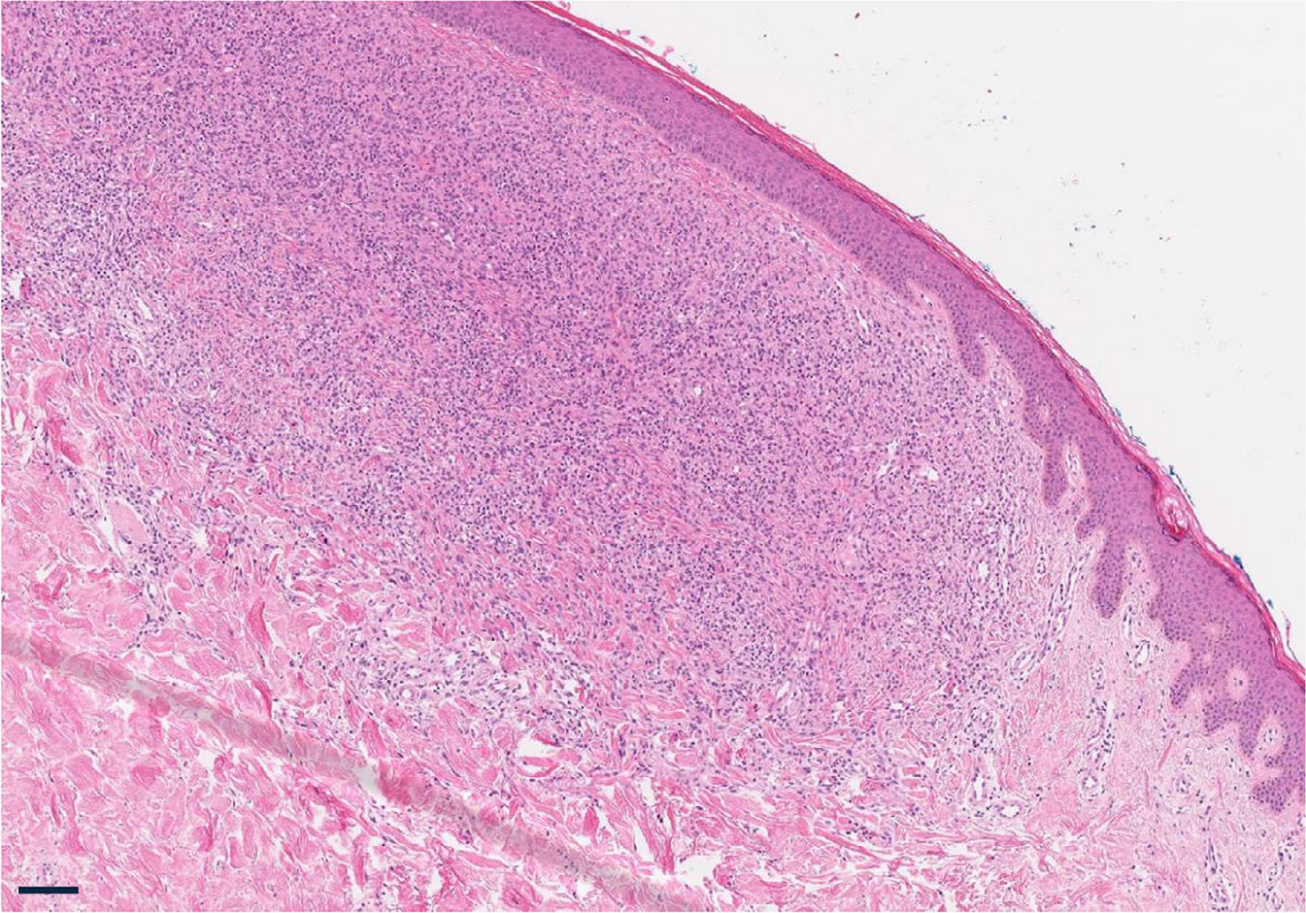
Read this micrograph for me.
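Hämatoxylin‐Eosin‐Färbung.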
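This is skin with a thin, pink-purple epidermis on top. Beneath it, a broad, dense sheet of cells fills the upper dermis. The sheet mixes small dark round nuclei with larger pale cells that have abundant pink cytoplasm, and it fades into coarse pink collagen bundles below. Over the cellular sheet the epidermis has a flat lower border, while at the edge it still forms downward ridges. This picture reads as a dense dermal infiltrate of macrophages and lymphocytes, with the overlying rete ridges flattened.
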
